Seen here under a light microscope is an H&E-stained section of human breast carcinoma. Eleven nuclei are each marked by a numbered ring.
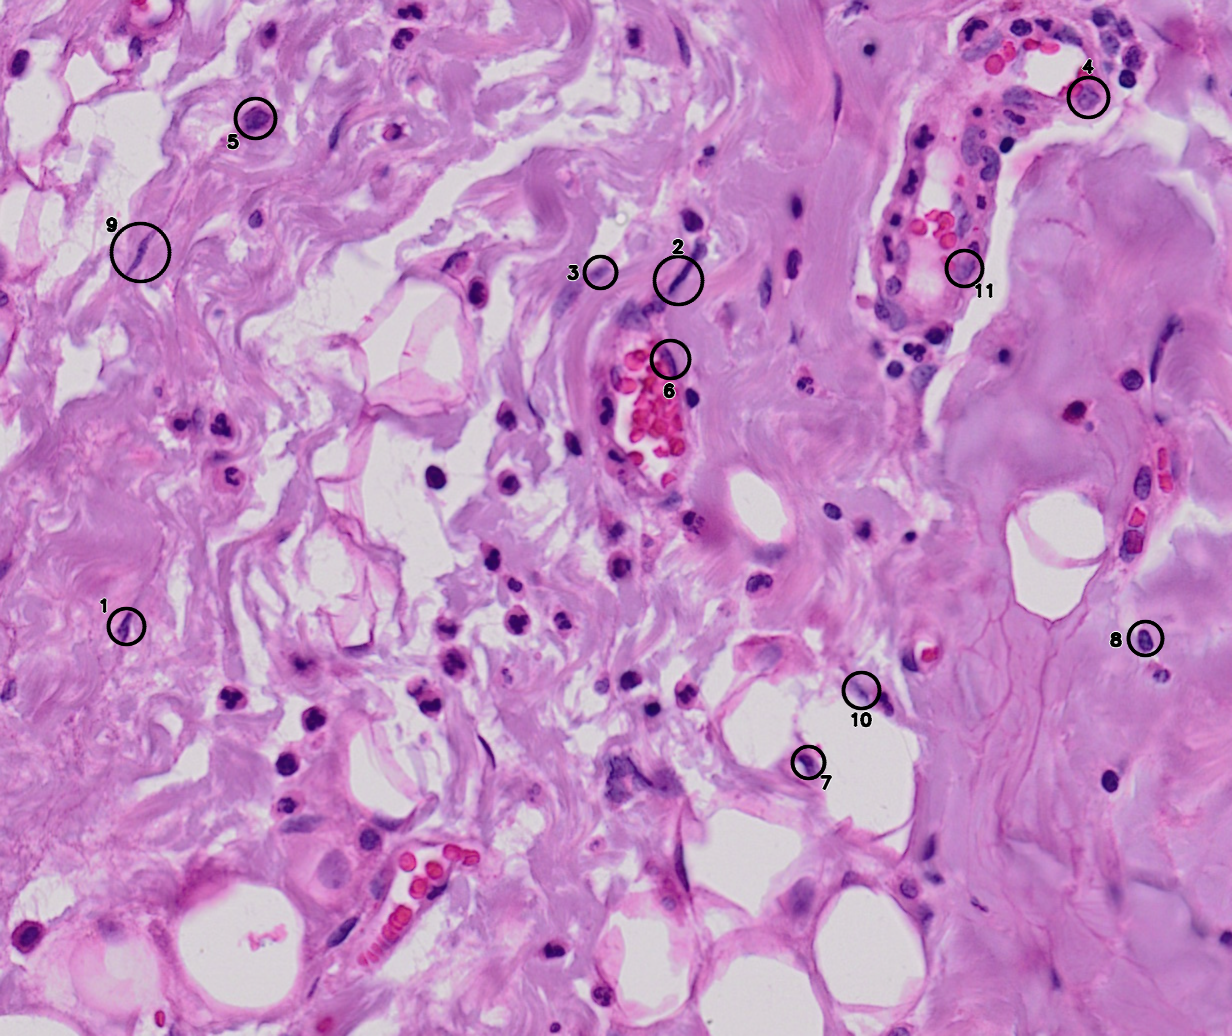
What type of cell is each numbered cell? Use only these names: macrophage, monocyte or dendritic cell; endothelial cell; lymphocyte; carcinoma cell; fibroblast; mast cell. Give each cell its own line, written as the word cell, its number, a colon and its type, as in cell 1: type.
cell 1: fibroblast
cell 2: fibroblast
cell 3: fibroblast
cell 4: endothelial cell
cell 5: macrophage, monocyte or dendritic cell
cell 6: endothelial cell
cell 7: endothelial cell
cell 8: lymphocyte
cell 9: fibroblast
cell 10: fibroblast
cell 11: endothelial cell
